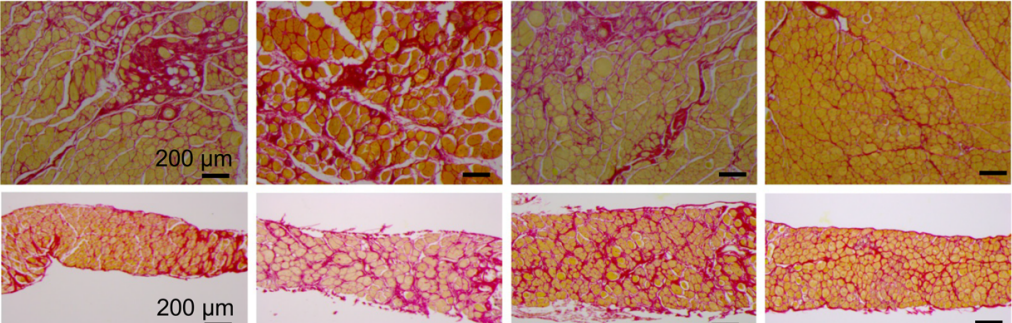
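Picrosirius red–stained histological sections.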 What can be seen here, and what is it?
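These are cross-sections of skeletal muscle, showing polygonal myofibers stained yellow. In some sections, this red interstitium widens into broad fibrotic bands and patches; in others, it remains a thin network around the fibers.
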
